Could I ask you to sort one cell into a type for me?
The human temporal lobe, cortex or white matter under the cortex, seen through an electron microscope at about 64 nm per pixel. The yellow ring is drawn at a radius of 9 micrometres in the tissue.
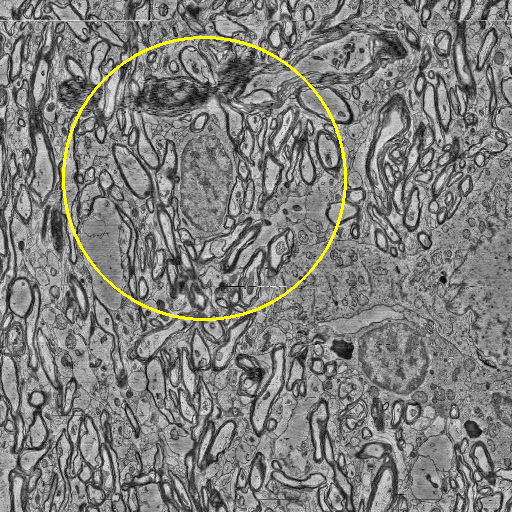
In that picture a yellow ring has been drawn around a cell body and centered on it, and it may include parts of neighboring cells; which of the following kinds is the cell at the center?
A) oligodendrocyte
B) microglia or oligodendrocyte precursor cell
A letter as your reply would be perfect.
A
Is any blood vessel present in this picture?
No, no vessel shows anywhere in the image.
